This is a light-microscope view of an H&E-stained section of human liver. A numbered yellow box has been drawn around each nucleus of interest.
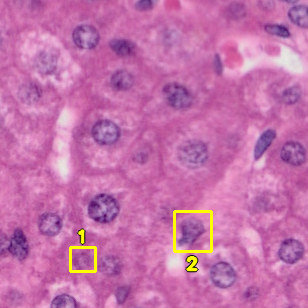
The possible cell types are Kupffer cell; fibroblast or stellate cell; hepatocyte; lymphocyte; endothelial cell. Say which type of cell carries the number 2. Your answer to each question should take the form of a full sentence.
That cell with number 2 is an endothelial cell.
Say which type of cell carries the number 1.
The nucleus labeled 1 belongs to a hepatocyte.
